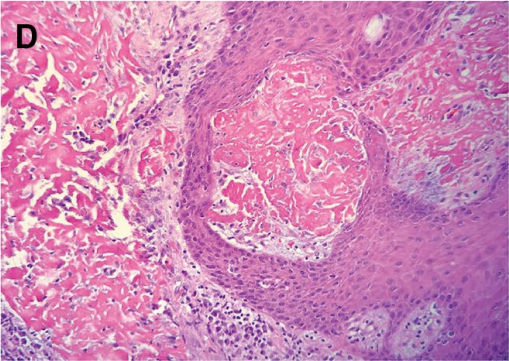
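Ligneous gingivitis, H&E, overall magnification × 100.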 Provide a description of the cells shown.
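A band of stratified squamous surface epithelium, with its many layers of purple-staining cells, curves around a rounded pink mass in the middle, so that the deposit lies right against the epithelium. Scattered small dark inflammatory nuclei sit at the edges of the epithelium and in the tissue beside it. The pink material looks glassy and cracked, quite unlike the normal connective tissue beneath a gingival surface.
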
